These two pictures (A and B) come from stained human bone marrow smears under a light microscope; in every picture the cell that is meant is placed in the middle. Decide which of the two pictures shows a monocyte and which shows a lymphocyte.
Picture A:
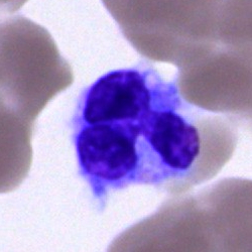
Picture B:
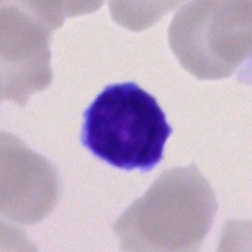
A: monocyte
B: lymphocyte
